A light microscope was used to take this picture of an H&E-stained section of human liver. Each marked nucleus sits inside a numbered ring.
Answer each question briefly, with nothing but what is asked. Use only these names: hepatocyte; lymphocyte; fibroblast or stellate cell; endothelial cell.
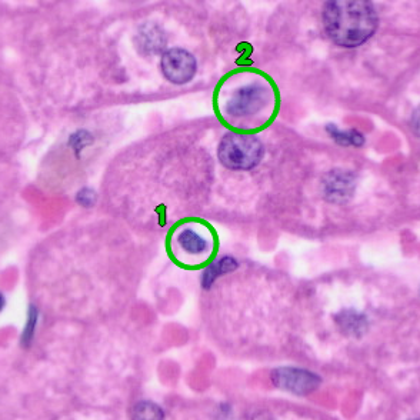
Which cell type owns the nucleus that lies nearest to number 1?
fibroblast or stellate cell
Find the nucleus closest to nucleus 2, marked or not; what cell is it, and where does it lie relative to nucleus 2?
a hepatocyte below nucleus 2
